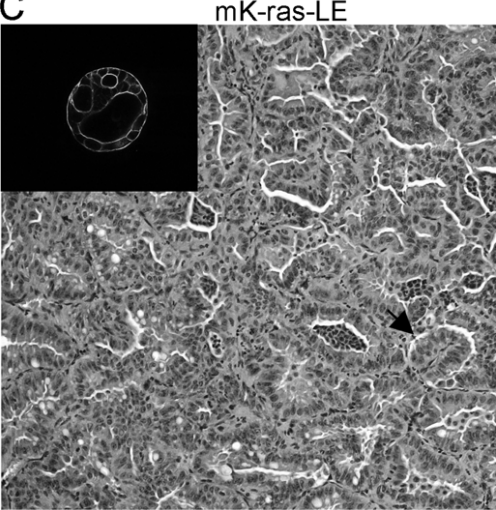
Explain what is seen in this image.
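This is a densely cellular tumour in which cancer cells line many glandular structures. Numerous narrow, branching clear spaces run through the tissue, each lined by columnar cells standing side by side. Small round clear vacuoles are scattered among the tumour cells. The inset shows a small hollow sphere of cells outlined at their borders around a central space.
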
